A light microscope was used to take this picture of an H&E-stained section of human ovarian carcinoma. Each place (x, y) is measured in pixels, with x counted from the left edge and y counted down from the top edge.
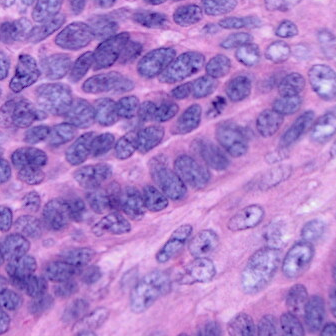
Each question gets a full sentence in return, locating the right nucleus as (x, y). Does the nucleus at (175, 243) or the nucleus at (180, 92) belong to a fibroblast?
The nucleus found at (175, 243) belongs to a fibroblast.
